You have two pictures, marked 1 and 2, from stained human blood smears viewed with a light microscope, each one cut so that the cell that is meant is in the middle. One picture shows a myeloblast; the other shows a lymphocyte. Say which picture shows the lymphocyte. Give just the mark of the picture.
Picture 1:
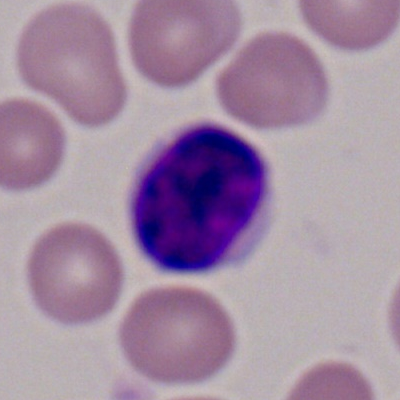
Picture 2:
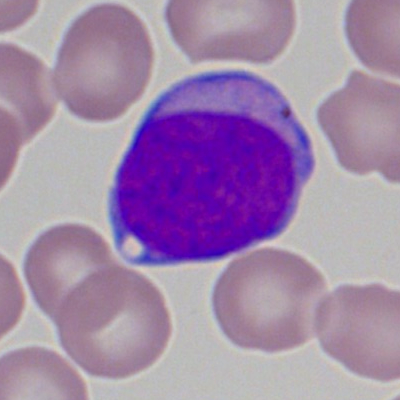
1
